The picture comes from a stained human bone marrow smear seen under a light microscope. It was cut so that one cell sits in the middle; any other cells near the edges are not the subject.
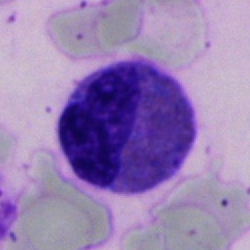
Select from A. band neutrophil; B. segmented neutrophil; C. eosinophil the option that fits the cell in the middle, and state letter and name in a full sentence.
Option C is the correct one; it names the central cell as an eosinophil.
